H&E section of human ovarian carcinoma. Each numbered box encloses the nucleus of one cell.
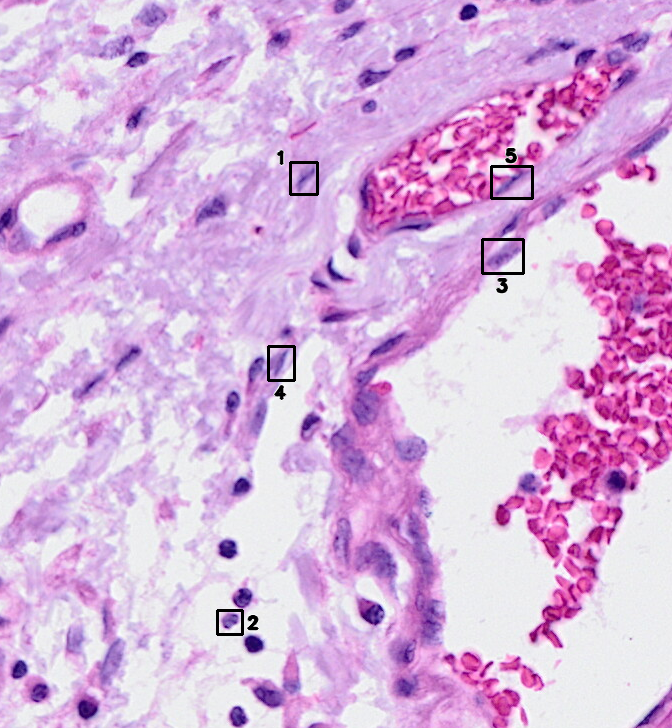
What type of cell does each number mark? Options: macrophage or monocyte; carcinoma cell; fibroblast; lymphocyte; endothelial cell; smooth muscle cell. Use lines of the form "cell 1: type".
cell 1: fibroblast
cell 2: lymphocyte
cell 3: endothelial cell
cell 4: fibroblast
cell 5: endothelial cell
